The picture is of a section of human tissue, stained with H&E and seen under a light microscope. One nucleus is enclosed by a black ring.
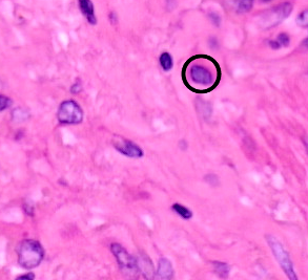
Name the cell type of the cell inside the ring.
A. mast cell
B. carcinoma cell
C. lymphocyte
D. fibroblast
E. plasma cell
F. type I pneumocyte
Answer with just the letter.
A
